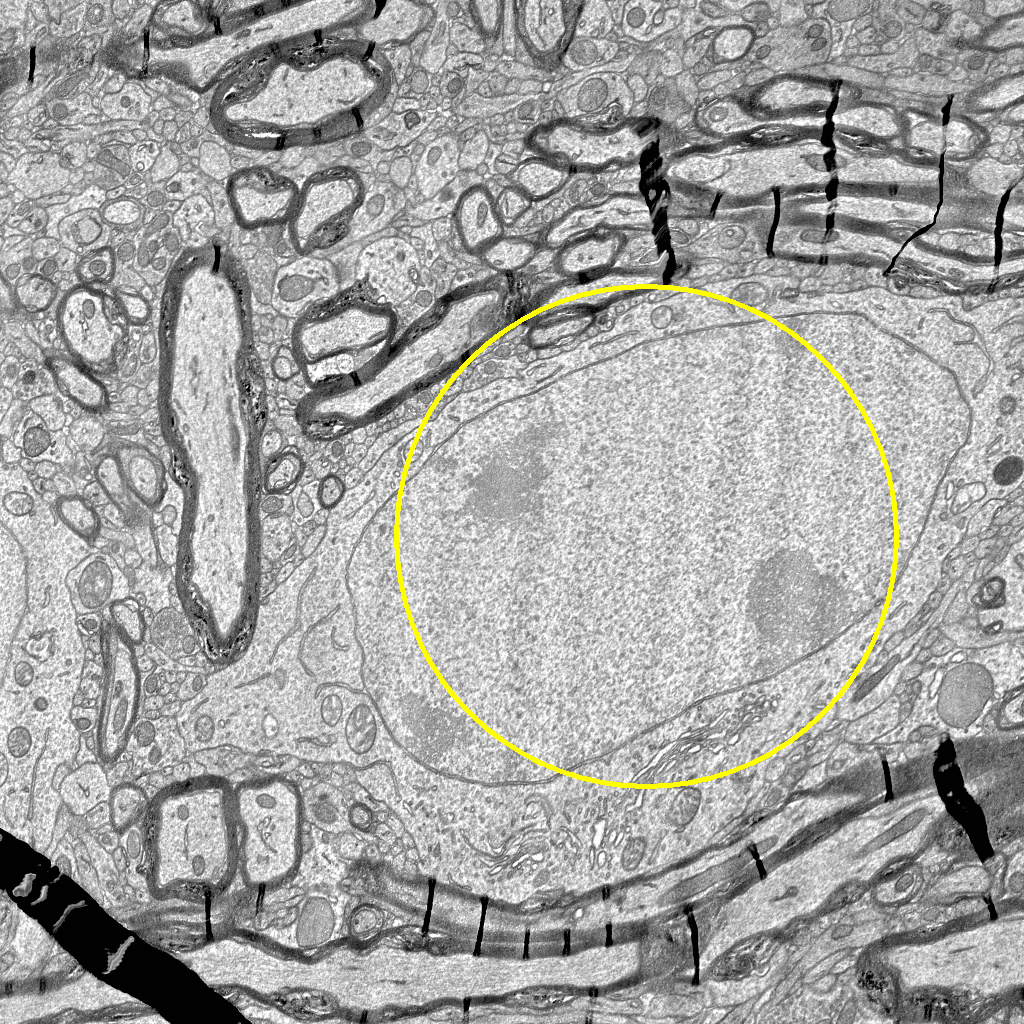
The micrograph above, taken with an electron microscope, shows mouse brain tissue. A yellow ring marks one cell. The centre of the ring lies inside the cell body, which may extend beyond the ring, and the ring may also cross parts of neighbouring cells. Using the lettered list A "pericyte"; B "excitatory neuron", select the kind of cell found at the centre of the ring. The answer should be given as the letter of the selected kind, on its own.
B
